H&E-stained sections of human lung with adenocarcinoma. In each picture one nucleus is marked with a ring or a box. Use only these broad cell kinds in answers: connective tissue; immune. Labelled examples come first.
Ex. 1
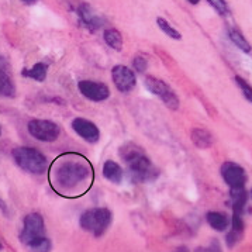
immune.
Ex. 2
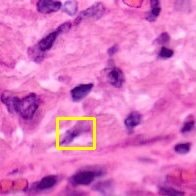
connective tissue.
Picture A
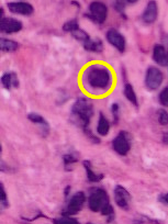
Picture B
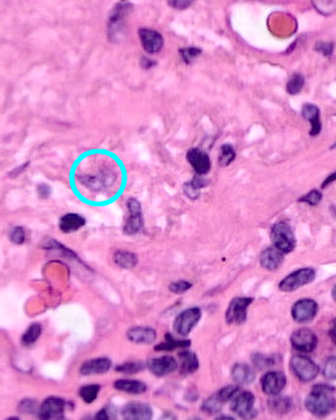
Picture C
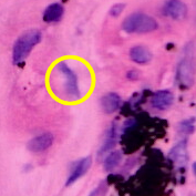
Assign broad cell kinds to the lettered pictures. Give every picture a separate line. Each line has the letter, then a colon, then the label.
A: immune.
B: connective tissue.
C: connective tissue.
